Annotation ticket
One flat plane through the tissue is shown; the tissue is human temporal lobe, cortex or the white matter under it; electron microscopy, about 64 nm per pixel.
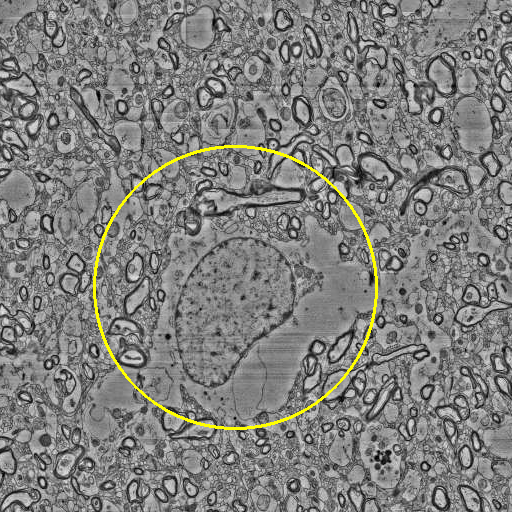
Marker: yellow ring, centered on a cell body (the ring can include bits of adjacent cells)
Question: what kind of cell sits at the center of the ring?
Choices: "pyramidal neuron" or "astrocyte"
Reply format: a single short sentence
The ring is centered on an astrocyte.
